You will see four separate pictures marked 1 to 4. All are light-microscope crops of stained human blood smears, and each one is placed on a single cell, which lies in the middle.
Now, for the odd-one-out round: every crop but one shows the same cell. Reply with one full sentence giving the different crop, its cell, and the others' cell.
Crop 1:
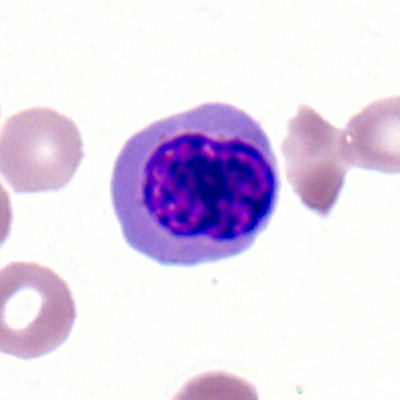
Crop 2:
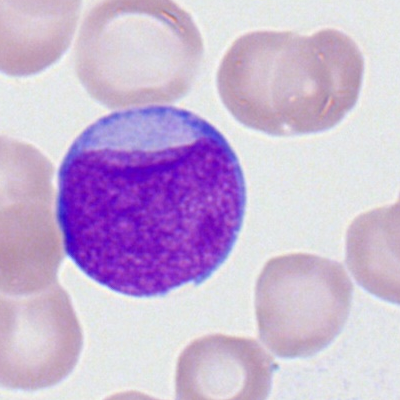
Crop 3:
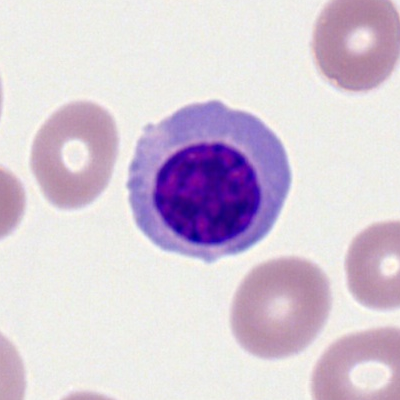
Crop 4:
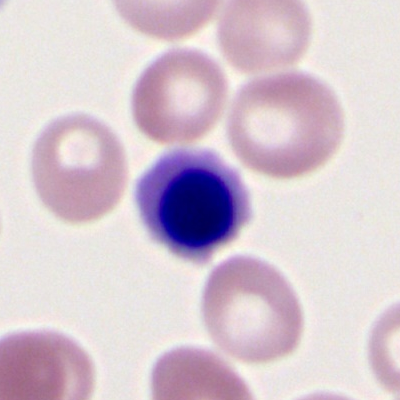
Crop 2 does not fit, being a myeloblast where all the others show normoblasts.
